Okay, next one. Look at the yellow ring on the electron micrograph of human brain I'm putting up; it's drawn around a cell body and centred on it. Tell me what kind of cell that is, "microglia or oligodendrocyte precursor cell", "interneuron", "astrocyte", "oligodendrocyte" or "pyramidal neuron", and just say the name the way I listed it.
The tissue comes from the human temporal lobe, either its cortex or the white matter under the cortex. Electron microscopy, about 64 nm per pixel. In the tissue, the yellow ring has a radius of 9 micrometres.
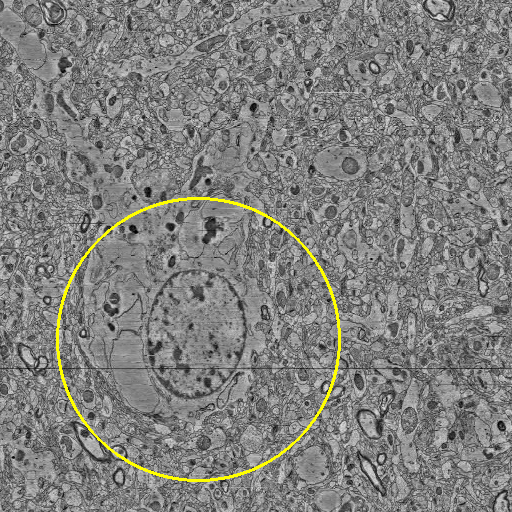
astrocyte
